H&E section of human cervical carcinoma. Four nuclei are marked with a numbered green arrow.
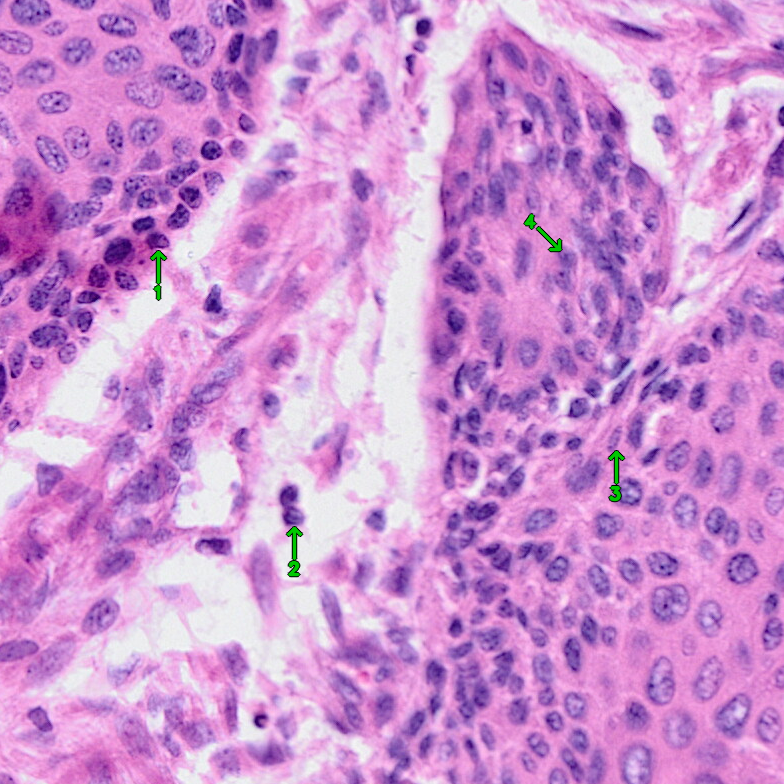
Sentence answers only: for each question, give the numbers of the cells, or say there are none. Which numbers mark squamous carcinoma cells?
The cells to which the numbers 1, 3 and 4 refer are squamous carcinoma cells.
